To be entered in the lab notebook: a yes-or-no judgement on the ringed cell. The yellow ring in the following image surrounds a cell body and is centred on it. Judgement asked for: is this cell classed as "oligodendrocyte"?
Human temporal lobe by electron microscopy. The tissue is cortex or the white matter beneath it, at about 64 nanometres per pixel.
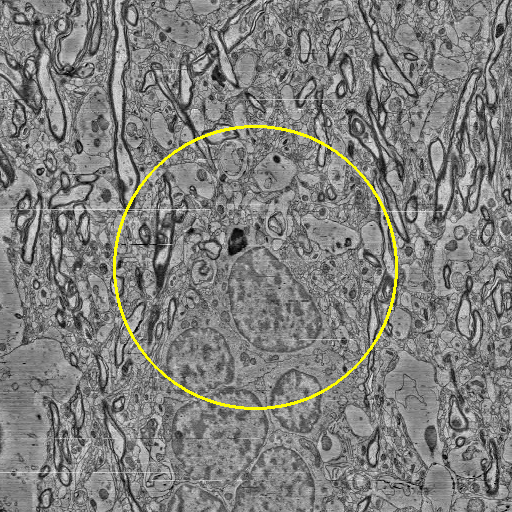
Yes, it is classed that way.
